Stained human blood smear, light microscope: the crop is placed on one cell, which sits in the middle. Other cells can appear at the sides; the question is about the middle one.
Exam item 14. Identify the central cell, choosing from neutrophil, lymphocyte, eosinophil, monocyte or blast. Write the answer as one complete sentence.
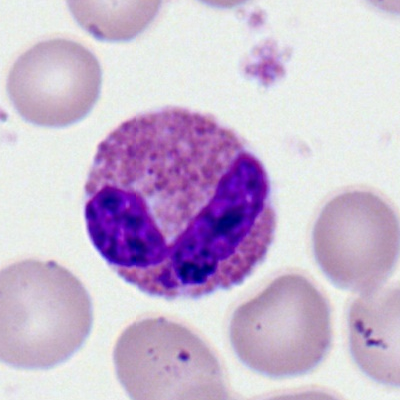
On this slide crop, the central cell is an eosinophil.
